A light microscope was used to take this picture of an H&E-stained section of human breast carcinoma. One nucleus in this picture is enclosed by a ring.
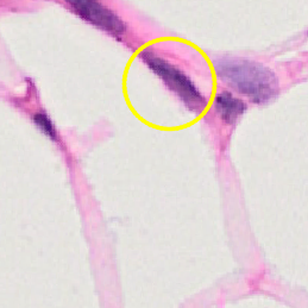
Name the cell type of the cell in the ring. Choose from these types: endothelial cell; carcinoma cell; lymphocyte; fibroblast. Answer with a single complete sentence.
The category to which the cell in the ring belongs is that of an endothelial cell.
